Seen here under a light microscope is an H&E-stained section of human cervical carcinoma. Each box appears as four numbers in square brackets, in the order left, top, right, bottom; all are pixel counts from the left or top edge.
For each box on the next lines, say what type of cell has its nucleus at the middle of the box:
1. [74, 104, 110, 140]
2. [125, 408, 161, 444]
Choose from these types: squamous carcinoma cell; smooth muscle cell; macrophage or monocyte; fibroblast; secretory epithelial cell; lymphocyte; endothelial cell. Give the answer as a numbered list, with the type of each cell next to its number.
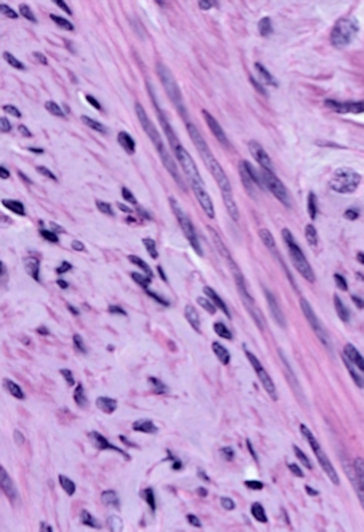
1. smooth muscle cell
2. fibroblast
